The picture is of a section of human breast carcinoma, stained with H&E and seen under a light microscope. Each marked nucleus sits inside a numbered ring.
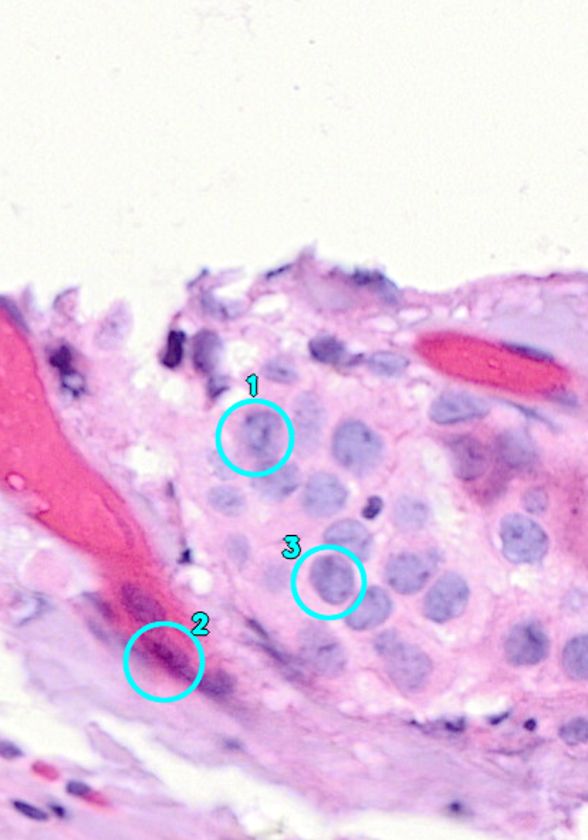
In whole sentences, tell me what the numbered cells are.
Cells 1 and 3 are carcinoma cells. Cell 2 is an endothelial cell.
